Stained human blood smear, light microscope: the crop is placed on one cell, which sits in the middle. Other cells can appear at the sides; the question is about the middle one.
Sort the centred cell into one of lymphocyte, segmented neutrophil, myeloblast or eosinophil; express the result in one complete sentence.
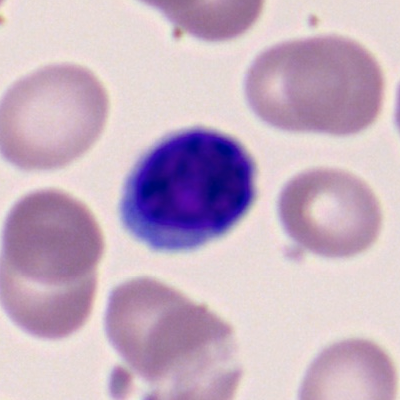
As for the central cell, it is a lymphocyte.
